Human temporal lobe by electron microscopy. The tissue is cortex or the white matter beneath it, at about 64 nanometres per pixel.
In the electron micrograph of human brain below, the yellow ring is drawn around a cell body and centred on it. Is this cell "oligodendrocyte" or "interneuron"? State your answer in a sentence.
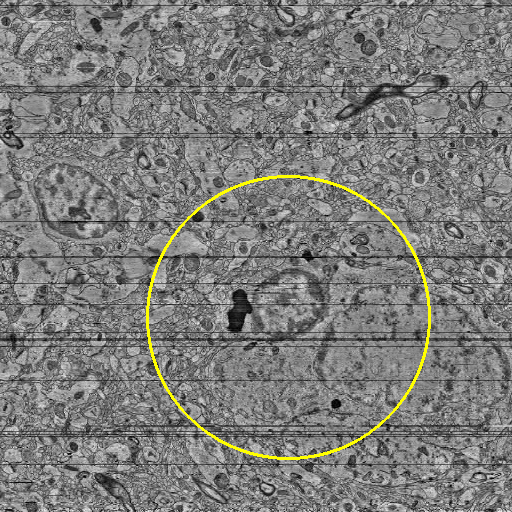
The cell in the middle of the ring is an oligodendrocyte.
